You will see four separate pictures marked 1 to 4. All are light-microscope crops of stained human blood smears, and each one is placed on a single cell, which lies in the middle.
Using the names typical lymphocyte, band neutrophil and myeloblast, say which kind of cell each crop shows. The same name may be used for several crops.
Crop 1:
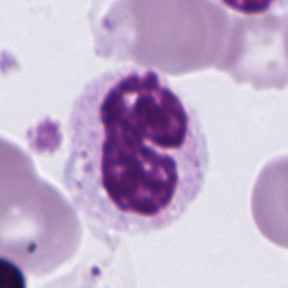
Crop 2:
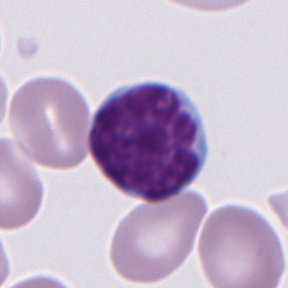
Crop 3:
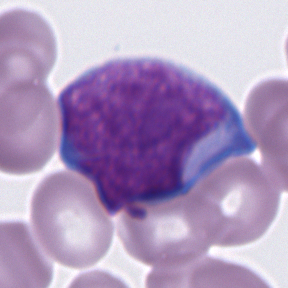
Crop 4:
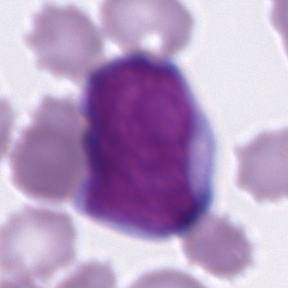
1: band neutrophil
2: typical lymphocyte
3: myeloblast
4: myeloblast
